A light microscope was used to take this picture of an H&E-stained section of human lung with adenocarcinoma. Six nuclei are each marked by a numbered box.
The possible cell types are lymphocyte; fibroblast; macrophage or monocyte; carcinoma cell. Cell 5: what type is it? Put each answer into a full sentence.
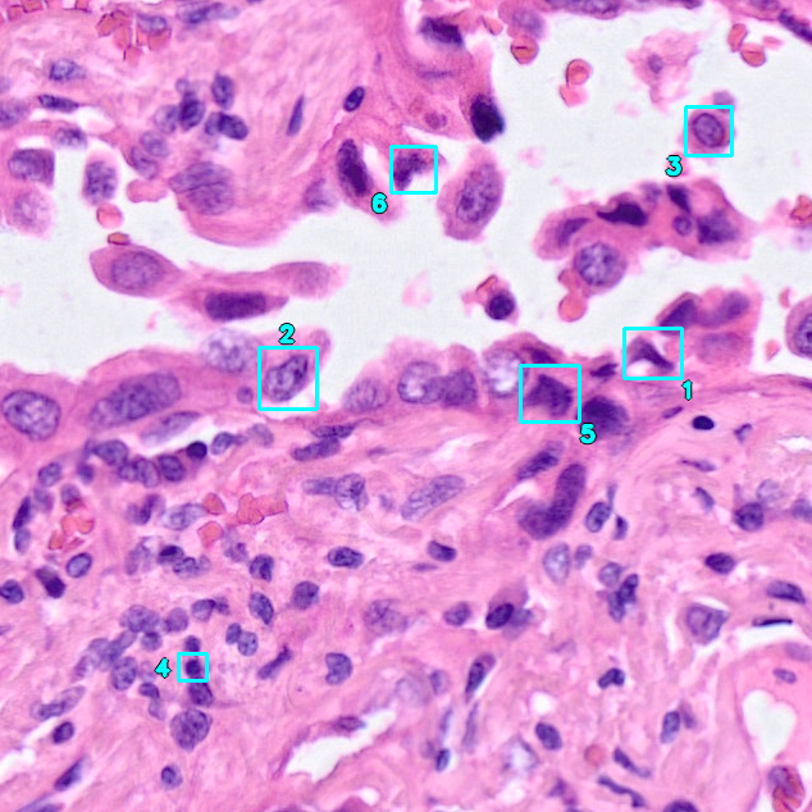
In this section, the cell tagged 5 is a carcinoma cell.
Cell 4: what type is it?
Among the marked cells, number 4 is a lymphocyte.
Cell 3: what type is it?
To a macrophage or monocyte belongs the nucleus marked 3.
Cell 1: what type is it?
Cell 1 of the marked set is a carcinoma cell.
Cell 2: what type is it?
It is as a carcinoma cell that the cell numbered 2 is identified.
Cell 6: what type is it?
The cell with the number 6 is a carcinoma cell.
